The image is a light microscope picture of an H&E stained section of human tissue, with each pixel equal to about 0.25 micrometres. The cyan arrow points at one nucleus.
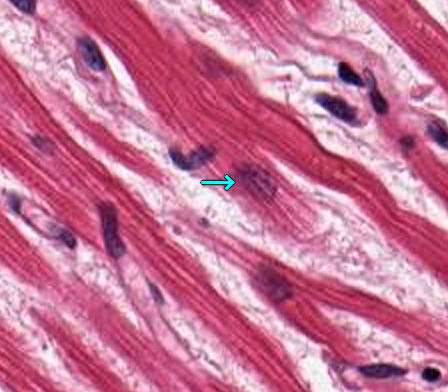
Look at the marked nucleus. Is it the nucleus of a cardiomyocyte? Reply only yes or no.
yes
